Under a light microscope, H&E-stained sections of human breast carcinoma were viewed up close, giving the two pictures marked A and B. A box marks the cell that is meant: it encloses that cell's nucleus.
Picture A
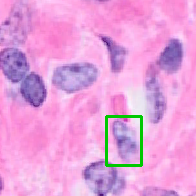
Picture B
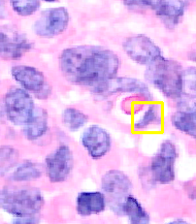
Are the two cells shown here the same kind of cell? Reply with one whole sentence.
Yes; the cells in both pictures are endothelial cells.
